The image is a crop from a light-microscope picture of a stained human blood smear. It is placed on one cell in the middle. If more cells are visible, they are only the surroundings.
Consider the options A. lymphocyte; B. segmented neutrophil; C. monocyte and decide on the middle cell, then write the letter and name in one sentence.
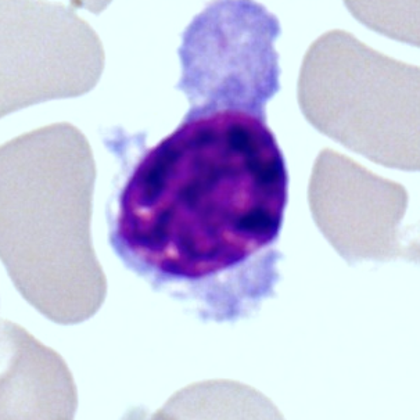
Option A is right, the centrally situated cell being a lymphocyte.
